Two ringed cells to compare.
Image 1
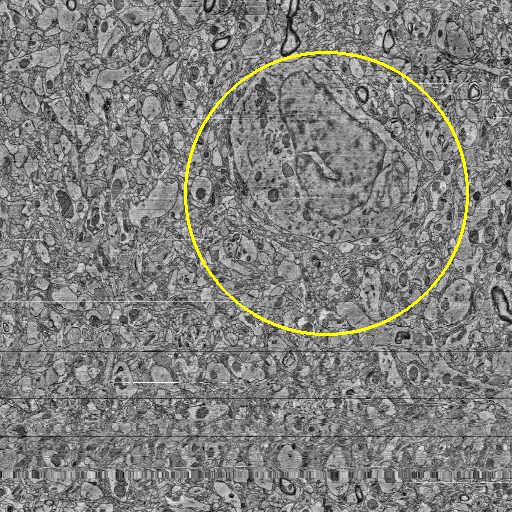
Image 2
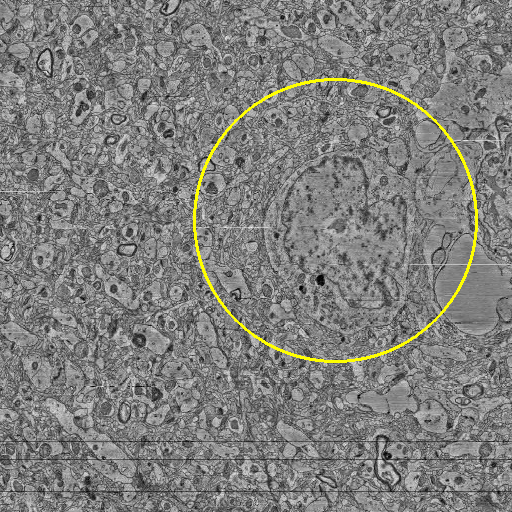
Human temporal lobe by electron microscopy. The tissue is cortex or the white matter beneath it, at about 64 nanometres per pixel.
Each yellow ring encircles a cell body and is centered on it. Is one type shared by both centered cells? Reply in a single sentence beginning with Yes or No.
Yes, a single type is shared by the two cells at the centers of the rings.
